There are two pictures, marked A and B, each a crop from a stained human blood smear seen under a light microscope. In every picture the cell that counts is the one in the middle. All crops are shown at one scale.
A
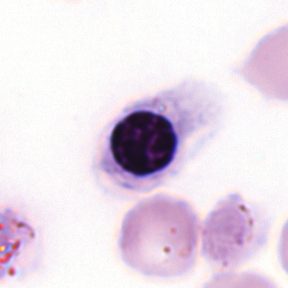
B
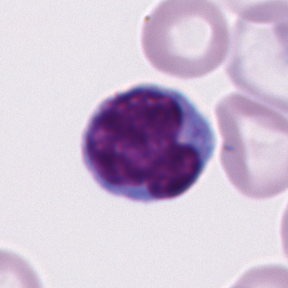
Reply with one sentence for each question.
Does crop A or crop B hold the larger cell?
The cell in crop B is larger, with about 2 times the area of the one in crop A.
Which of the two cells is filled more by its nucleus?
It is the cell in crop B that is filled more by its nucleus.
